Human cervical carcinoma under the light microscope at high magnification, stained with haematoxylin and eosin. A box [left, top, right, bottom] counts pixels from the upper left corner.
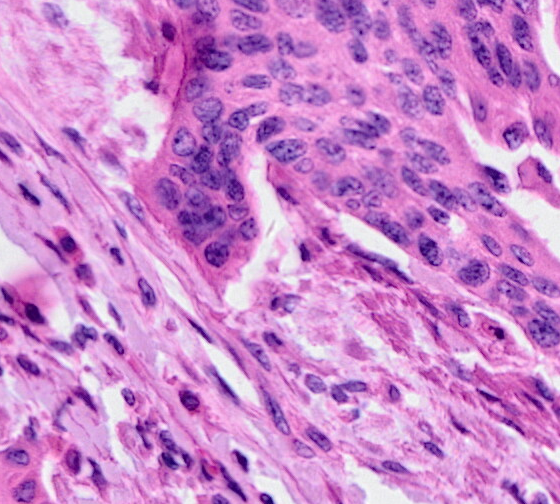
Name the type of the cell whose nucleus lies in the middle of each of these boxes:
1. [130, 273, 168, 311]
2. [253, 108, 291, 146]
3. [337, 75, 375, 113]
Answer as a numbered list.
1. macrophage or monocyte
2. squamous carcinoma cell
3. squamous carcinoma cell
